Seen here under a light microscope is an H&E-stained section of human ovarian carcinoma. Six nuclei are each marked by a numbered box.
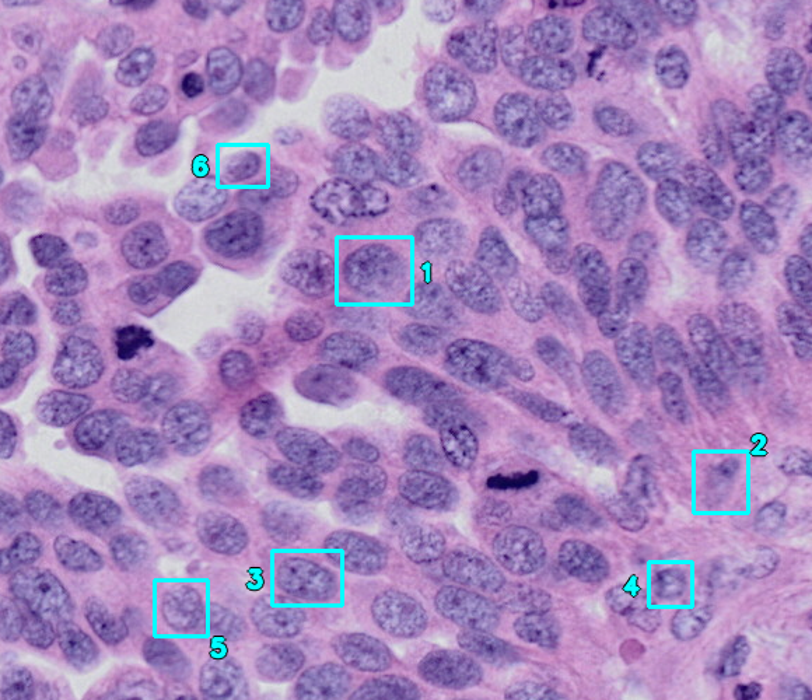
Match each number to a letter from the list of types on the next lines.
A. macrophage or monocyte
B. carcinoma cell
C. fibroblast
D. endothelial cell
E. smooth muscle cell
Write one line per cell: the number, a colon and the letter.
1: B
2: C
3: B
4: C
5: B
6: B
